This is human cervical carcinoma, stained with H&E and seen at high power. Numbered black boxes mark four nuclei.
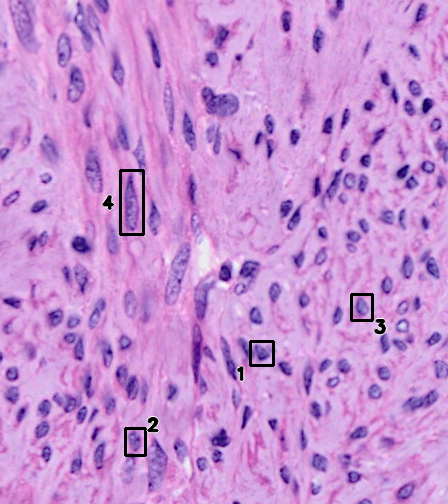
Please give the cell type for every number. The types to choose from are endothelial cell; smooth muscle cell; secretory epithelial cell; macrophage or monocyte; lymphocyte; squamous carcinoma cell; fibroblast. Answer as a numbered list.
1. fibroblast
2. smooth muscle cell
3. smooth muscle cell
4. smooth muscle cell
